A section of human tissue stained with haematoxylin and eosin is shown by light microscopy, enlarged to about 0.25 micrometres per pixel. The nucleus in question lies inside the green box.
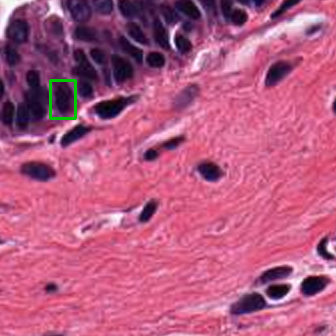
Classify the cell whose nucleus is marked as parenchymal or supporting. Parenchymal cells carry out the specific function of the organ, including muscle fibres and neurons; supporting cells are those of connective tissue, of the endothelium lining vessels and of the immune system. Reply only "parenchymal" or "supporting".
parenchymal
